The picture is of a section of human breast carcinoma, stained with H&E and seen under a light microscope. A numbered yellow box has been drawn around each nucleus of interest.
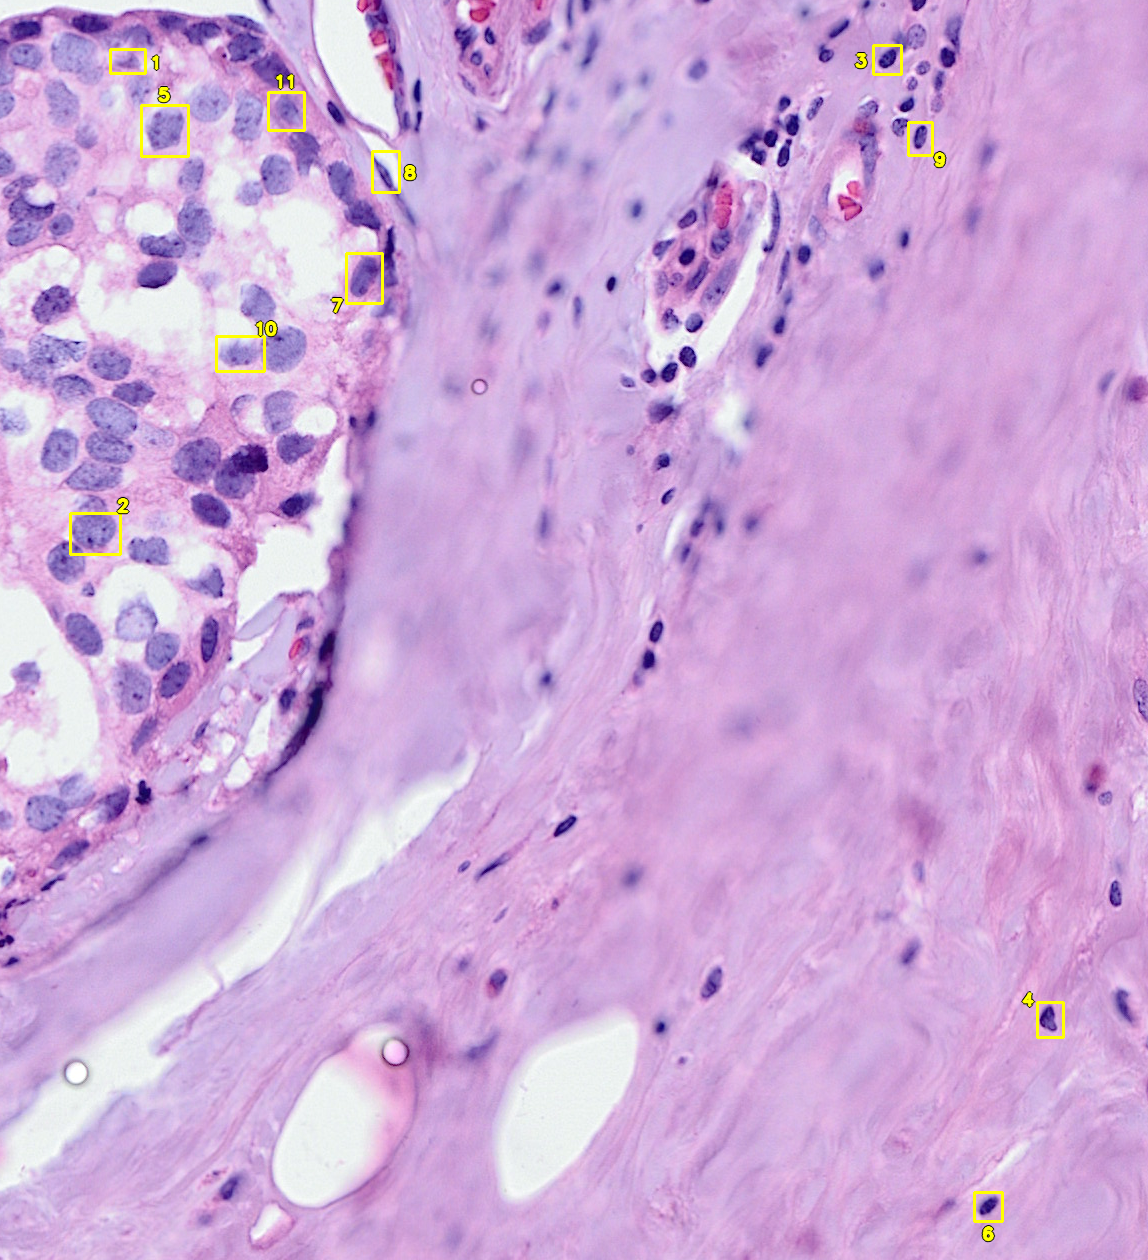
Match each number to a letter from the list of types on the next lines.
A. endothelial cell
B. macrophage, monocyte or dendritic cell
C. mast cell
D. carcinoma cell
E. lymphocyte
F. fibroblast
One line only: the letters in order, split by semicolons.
D; D; E; E; D; E; D; F; E; D; D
